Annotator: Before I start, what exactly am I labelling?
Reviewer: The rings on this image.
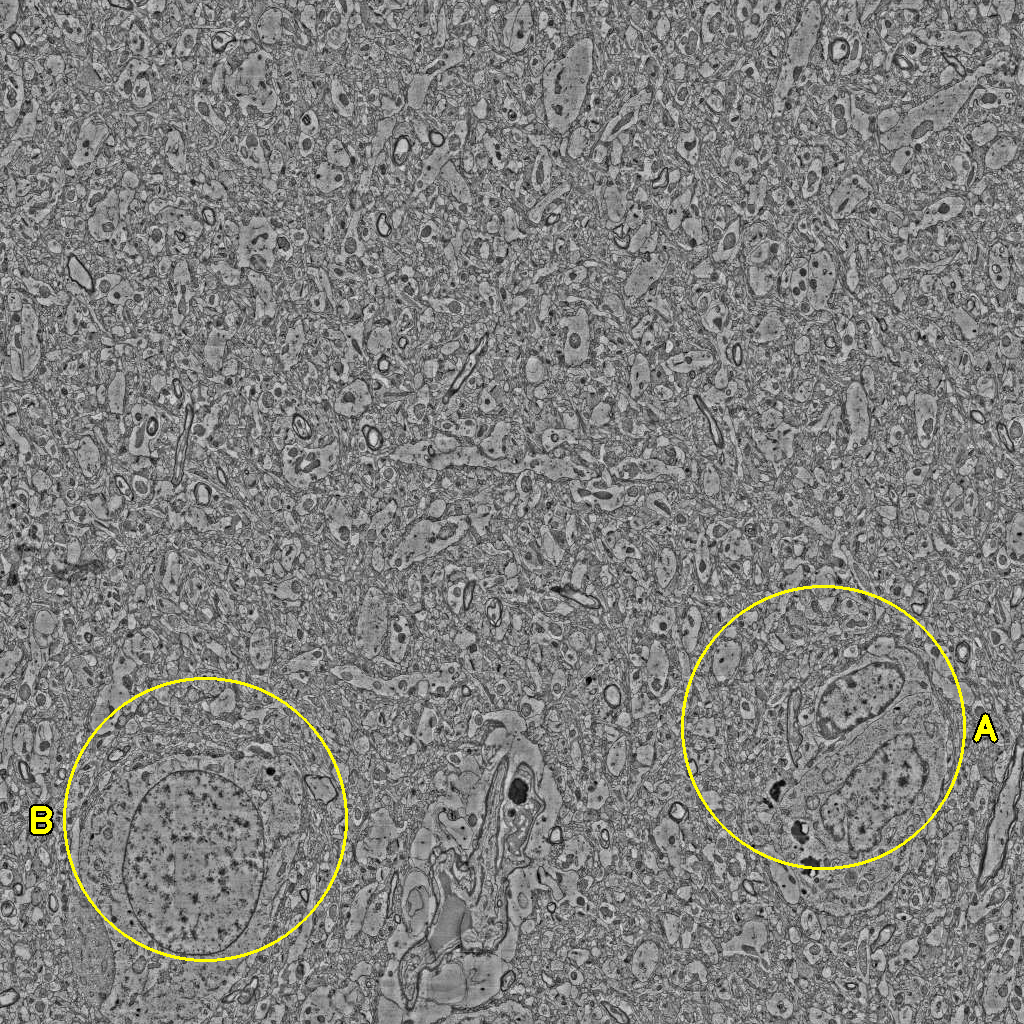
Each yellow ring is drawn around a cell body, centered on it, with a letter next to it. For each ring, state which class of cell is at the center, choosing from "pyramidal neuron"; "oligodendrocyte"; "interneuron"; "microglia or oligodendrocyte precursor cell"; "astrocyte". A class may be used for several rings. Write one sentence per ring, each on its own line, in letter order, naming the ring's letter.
At the center of ring A we have a microglial cell or oligodendrocyte precursor cell.
At the center of ring B we have a pyramidal neuron.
